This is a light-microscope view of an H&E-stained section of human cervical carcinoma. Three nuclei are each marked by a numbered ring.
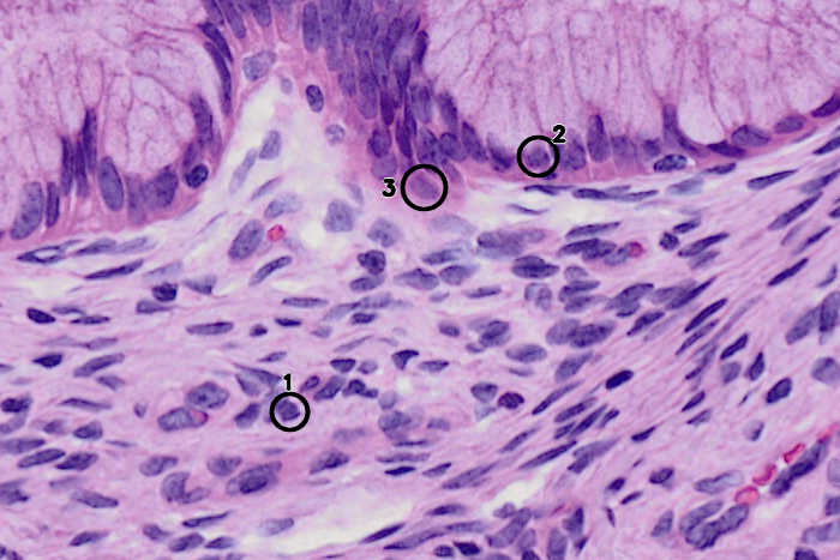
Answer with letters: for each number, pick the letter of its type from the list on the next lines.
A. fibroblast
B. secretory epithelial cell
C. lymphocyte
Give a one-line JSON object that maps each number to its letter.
{"1": "A", "2": "B", "3": "B"}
